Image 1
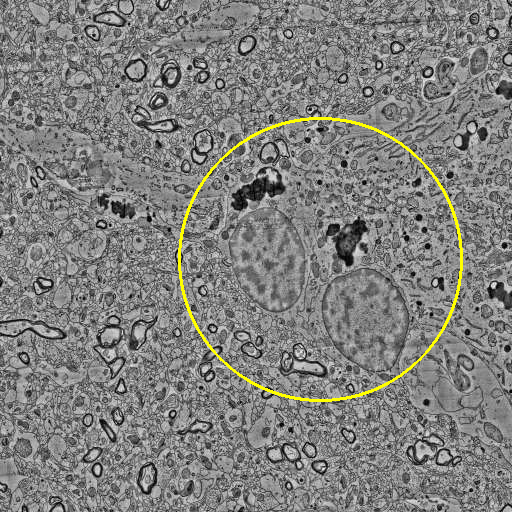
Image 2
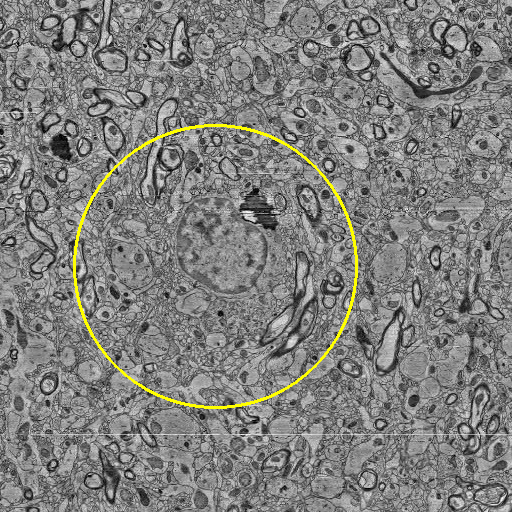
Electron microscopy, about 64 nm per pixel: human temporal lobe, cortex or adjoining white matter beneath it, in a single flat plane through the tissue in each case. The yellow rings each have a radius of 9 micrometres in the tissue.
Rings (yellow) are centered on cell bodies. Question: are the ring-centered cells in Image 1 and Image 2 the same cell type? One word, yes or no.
yes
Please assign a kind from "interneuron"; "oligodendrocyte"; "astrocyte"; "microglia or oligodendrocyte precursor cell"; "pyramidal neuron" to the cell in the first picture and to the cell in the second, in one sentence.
Both cells are the same kind, each one being an oligodendrocyte.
